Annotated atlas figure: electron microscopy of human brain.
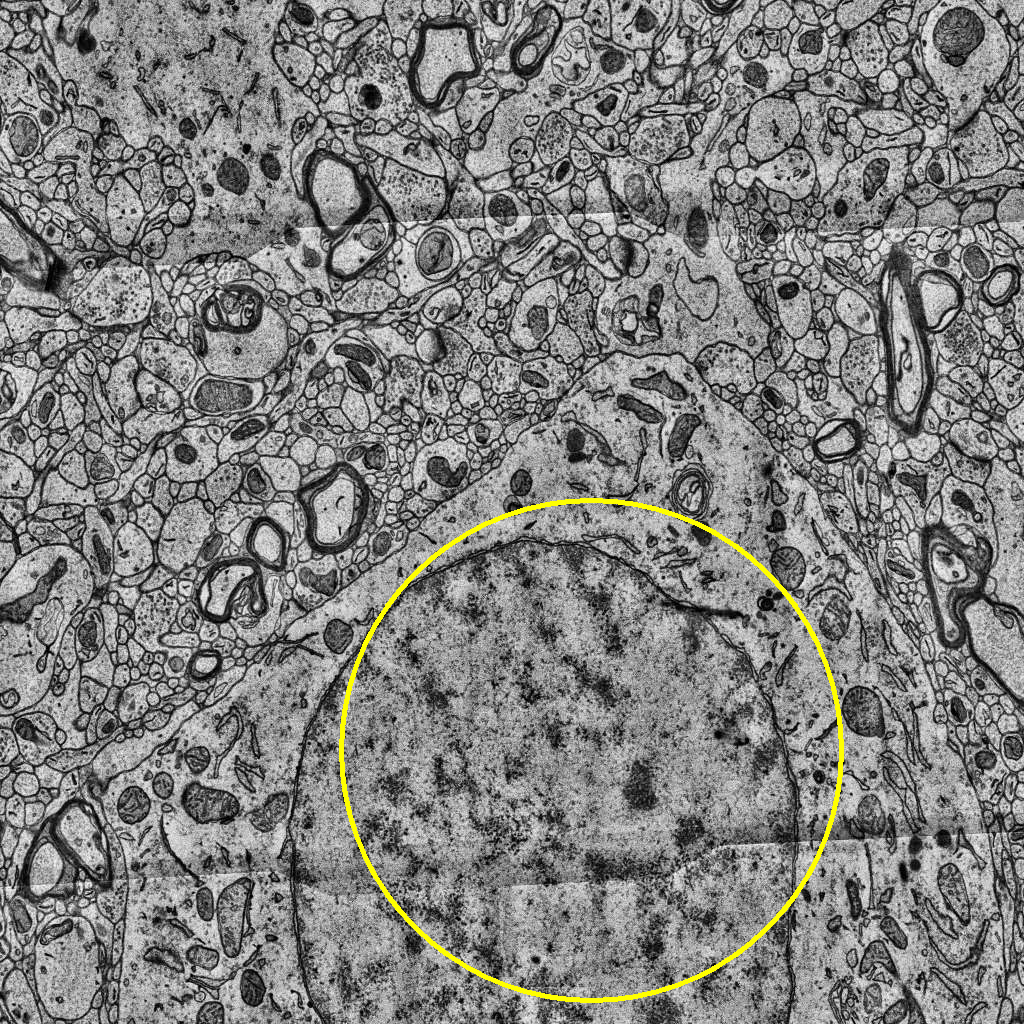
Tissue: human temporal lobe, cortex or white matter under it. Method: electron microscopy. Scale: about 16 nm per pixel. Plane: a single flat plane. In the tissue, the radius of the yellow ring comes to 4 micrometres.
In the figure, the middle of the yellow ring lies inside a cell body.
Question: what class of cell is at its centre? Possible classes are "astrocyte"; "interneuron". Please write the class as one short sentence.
The yellow ring's centre lies in an interneuron.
